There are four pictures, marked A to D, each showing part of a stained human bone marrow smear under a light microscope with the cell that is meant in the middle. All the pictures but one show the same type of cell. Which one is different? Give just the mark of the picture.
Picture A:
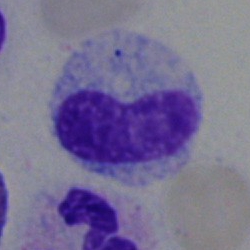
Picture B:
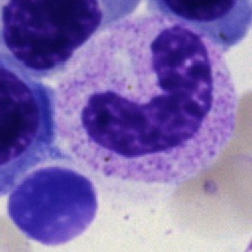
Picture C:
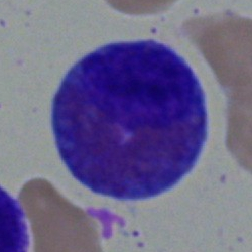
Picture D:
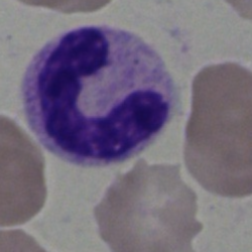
C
